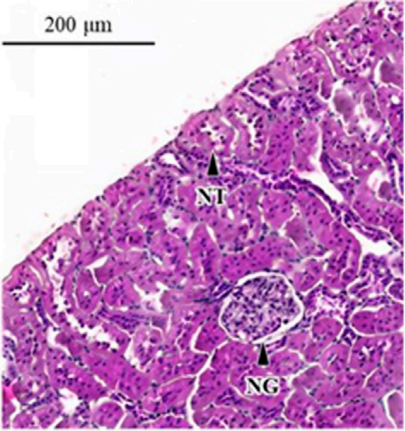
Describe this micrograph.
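This is renal cortex with closely packed tubules lined by eosin-pink cuboidal epithelial cells with round purple nuclei and narrow lumens. A round glomerulus, a capillary tuft with many nuclei inside a thin capsule and clear space, lies among the tubules, and a thin capsule covers the kidney surface.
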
